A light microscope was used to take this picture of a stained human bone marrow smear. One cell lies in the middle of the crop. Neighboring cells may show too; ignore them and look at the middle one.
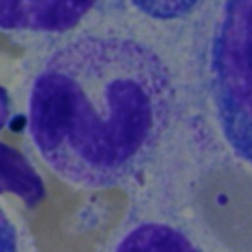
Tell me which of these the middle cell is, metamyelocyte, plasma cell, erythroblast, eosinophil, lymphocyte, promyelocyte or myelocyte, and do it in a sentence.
The cell in the exact centre of the crop is a metamyelocyte.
